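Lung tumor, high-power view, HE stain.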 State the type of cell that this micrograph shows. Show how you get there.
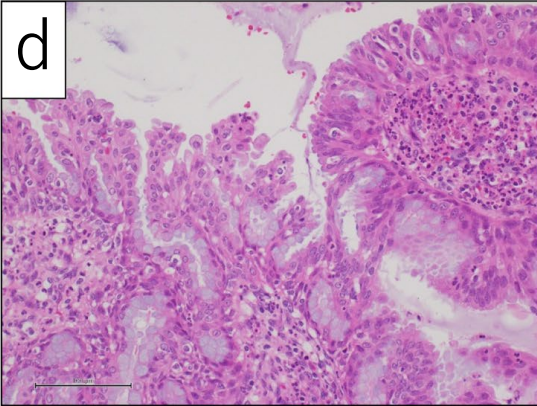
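Goblet cells. Tall epithelial cells line papillae. Some epithelial cells have pale, mucin-filled cytoplasm.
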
